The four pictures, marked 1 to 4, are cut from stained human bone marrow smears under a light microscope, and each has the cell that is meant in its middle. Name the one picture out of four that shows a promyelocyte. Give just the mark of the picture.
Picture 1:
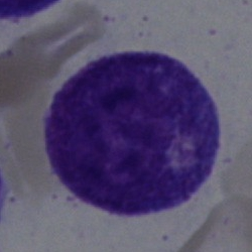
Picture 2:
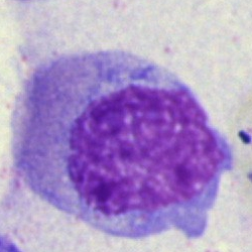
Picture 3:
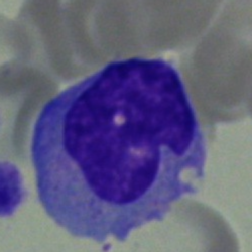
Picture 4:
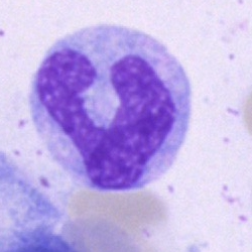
1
